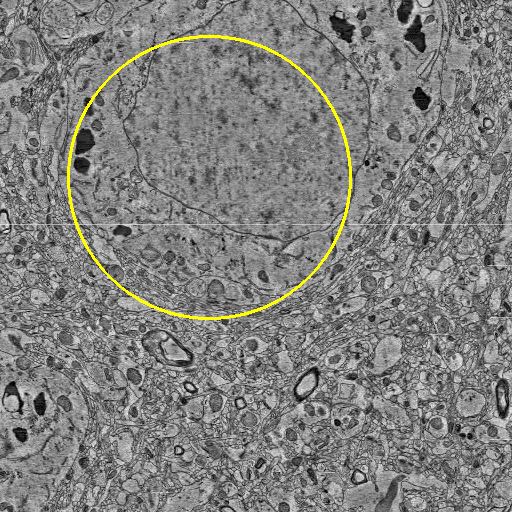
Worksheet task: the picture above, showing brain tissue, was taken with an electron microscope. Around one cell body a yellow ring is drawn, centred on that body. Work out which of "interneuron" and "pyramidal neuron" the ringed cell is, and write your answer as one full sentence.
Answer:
It is a pyramidal neuron whose cell body lies at the centre of the yellow ring.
